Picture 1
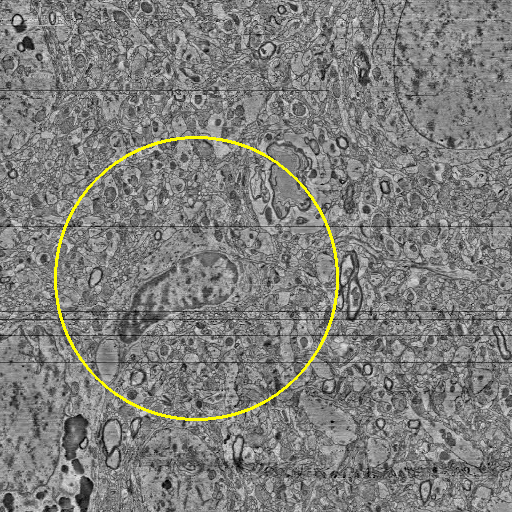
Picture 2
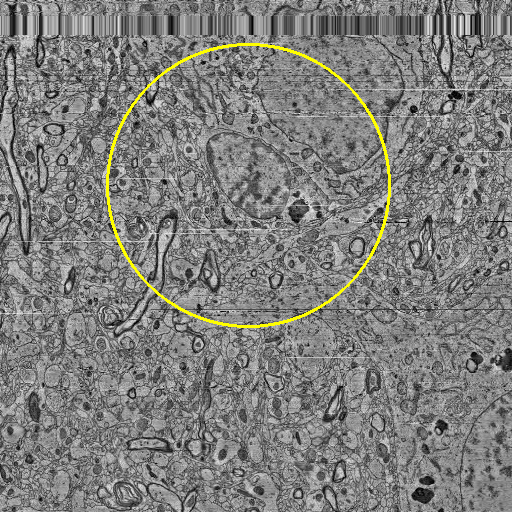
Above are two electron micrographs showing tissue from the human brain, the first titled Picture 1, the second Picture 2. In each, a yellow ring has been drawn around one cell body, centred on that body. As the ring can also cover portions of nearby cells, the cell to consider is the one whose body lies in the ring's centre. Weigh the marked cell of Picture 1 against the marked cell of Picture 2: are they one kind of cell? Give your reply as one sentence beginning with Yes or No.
No, the two cells sitting at the ring centres in the pictures are of two kinds.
